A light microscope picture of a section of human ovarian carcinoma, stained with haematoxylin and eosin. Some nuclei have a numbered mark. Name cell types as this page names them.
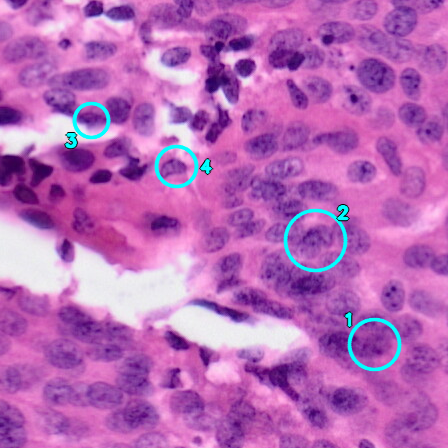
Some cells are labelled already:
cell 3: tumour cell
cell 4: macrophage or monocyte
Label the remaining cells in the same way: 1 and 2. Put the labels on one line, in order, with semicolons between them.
tumour cell; tumour cell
